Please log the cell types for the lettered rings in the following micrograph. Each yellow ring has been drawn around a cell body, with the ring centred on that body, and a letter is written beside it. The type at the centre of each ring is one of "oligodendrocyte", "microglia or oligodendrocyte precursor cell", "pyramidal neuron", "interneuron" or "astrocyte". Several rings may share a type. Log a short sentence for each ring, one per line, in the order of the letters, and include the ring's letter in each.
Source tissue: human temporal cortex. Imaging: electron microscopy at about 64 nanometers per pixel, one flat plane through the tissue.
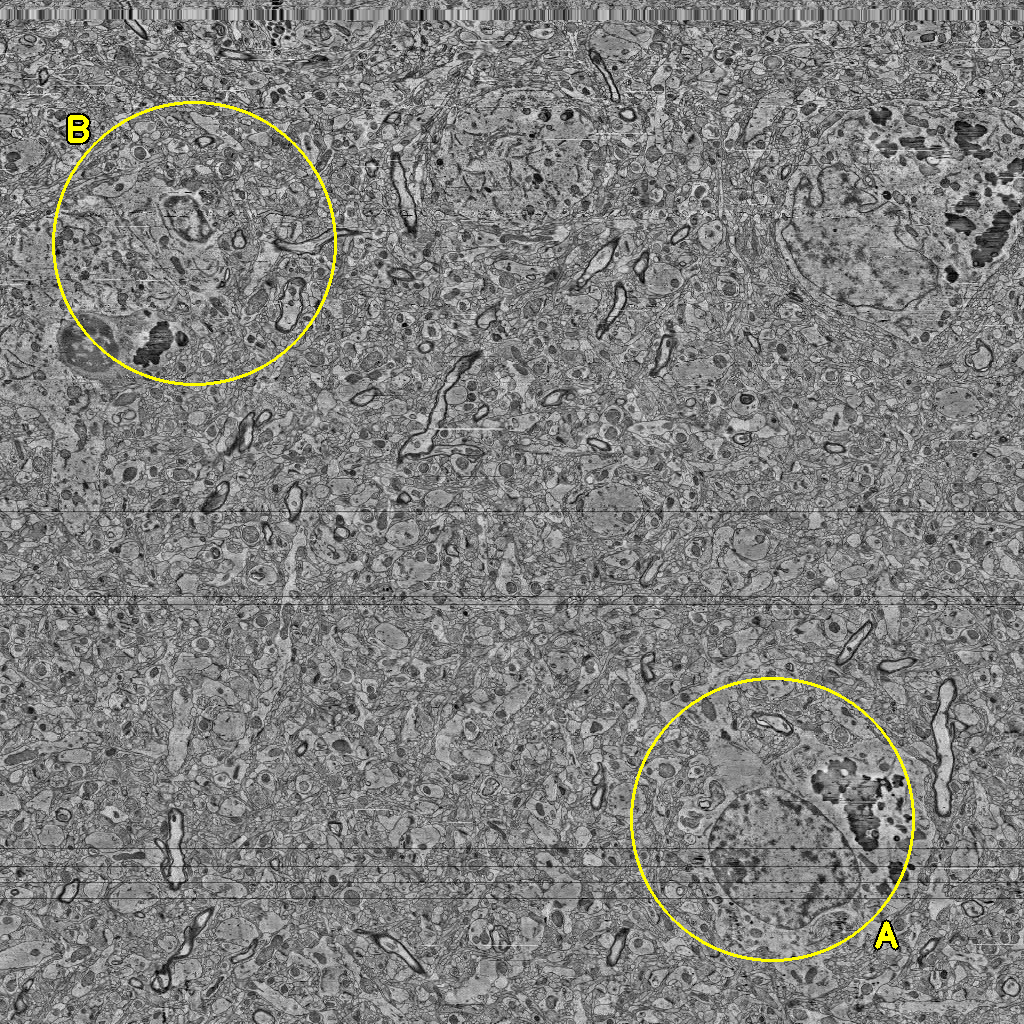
In ring A the central cell is an astrocyte.
In ring B the central cell is a microglial cell or oligodendrocyte precursor cell.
